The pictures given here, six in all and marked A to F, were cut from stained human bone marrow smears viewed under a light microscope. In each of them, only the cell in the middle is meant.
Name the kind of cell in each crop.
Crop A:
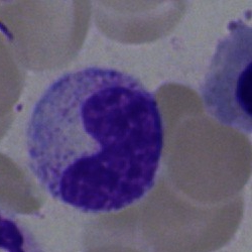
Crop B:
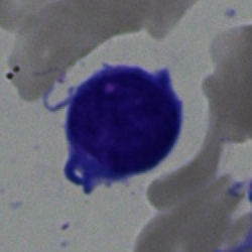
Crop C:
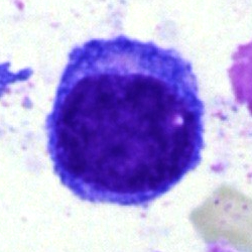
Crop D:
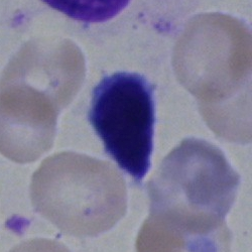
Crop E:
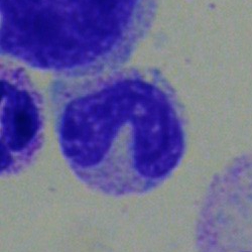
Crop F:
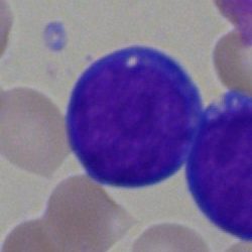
A: band neutrophil
B: blast
C: blast
D: lymphocyte
E: band neutrophil
F: blast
